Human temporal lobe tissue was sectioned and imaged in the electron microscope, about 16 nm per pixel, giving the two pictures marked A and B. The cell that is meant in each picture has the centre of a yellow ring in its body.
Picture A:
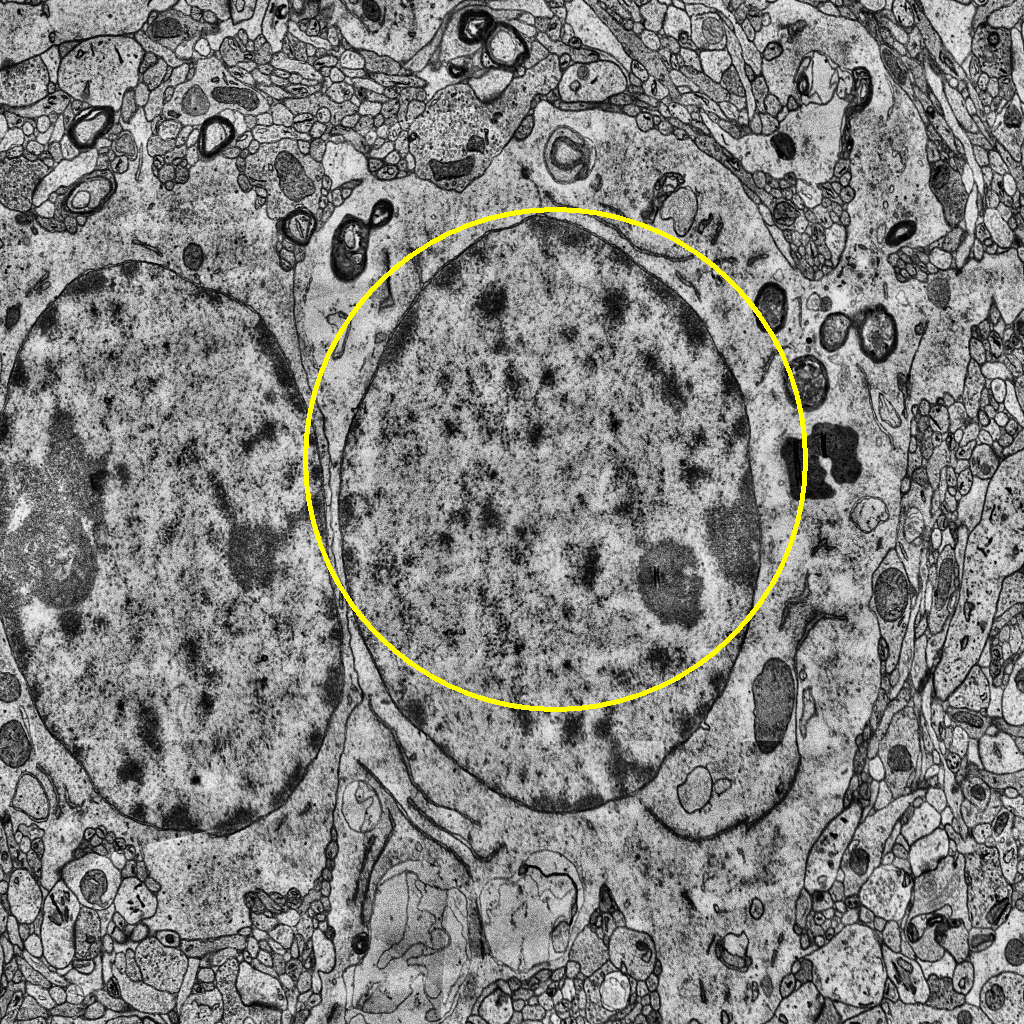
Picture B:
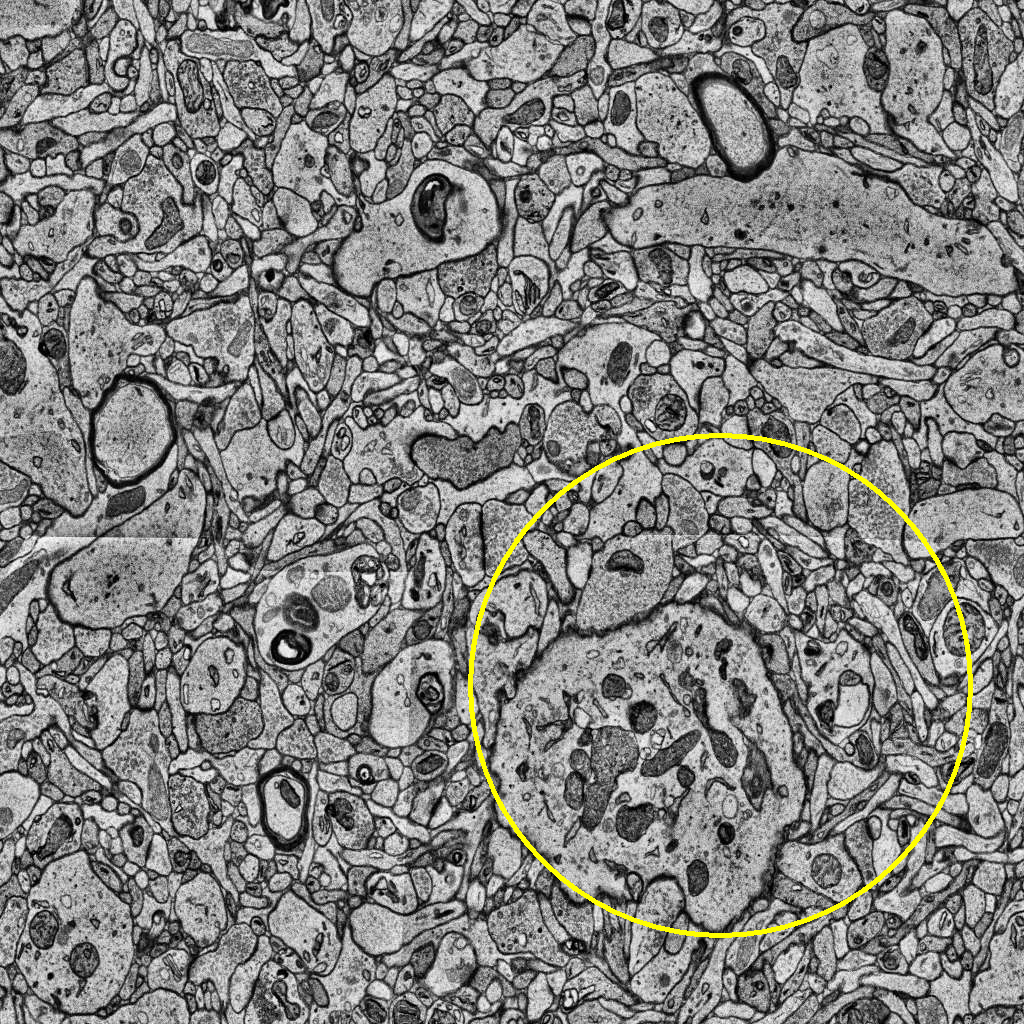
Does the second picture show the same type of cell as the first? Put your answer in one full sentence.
No, they differ: the cell is an astrocyte in picture A and an interneuron in picture B.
